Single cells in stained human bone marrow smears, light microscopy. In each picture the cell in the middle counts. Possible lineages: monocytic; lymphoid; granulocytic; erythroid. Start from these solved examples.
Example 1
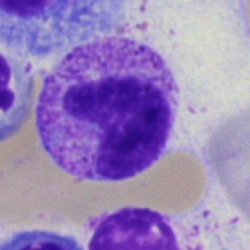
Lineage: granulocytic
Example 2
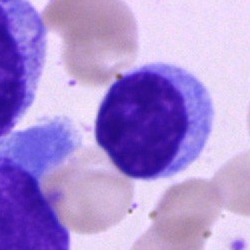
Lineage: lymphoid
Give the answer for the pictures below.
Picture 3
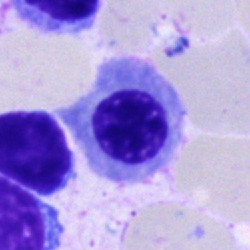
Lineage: erythroid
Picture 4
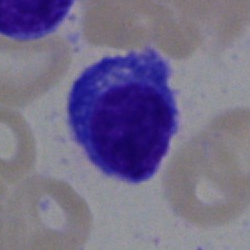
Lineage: lymphoid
